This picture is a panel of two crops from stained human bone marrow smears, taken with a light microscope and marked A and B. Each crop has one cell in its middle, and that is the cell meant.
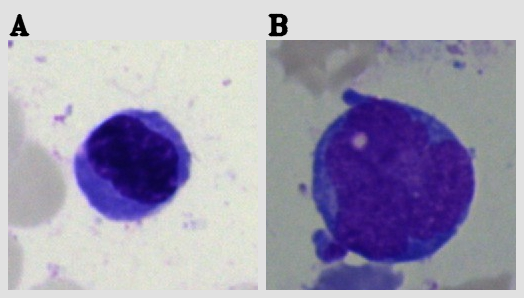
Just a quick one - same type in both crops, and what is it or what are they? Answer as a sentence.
No, while a normoblast is found in crop A, a blast is found in crop B.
